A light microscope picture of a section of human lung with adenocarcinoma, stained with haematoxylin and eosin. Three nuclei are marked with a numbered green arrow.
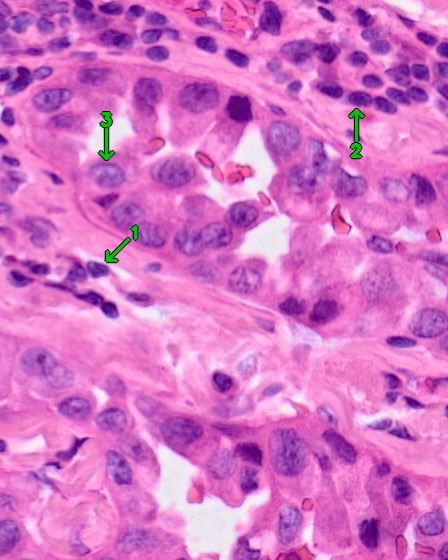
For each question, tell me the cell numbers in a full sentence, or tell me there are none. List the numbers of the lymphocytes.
Cells 1 and 2 are of one type, namely lymphocytes.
